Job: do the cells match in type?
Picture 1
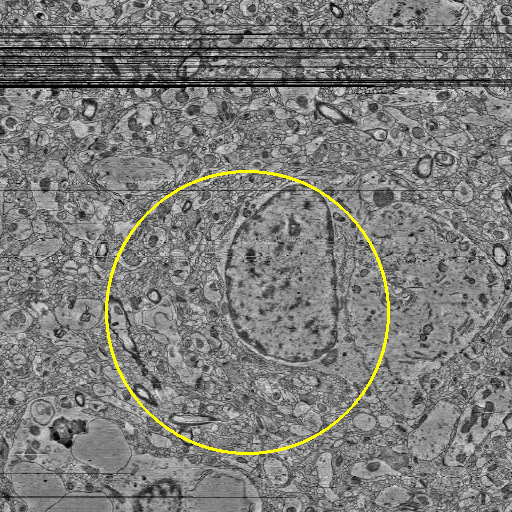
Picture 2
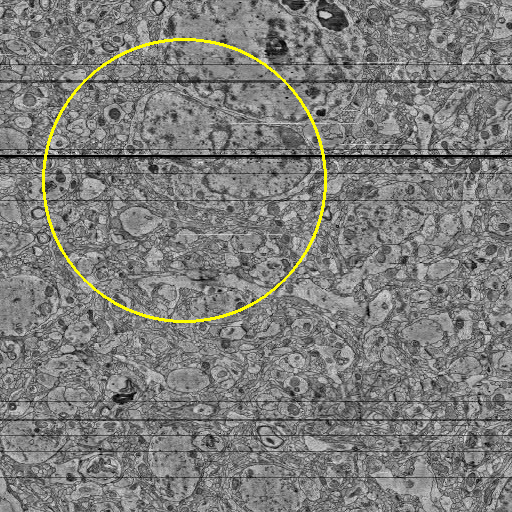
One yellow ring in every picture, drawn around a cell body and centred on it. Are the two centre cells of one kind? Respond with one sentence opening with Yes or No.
No, the ringed cells in the two pictures are of two separate kinds.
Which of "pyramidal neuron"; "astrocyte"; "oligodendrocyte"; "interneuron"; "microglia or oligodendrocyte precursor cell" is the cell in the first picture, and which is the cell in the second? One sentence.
The two differ: the first cell is a microglial cell or oligodendrocyte precursor cell and the second is an interneuron.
